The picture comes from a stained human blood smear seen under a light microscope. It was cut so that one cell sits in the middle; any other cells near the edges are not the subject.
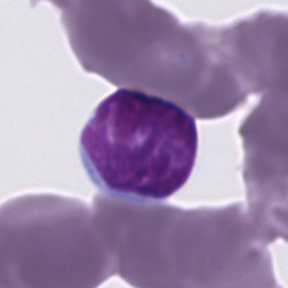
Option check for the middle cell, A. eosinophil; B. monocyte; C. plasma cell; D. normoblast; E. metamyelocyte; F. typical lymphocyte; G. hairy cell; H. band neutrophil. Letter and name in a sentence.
The correct identification, given in option F, is that the central cell is a typical lymphocyte.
